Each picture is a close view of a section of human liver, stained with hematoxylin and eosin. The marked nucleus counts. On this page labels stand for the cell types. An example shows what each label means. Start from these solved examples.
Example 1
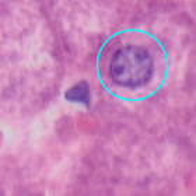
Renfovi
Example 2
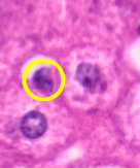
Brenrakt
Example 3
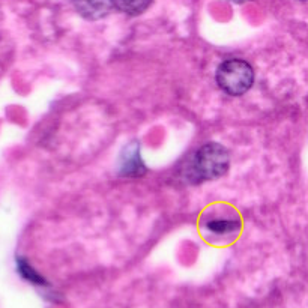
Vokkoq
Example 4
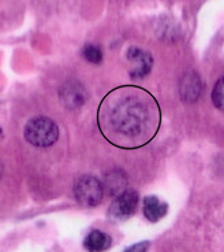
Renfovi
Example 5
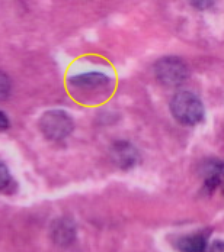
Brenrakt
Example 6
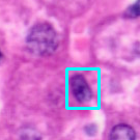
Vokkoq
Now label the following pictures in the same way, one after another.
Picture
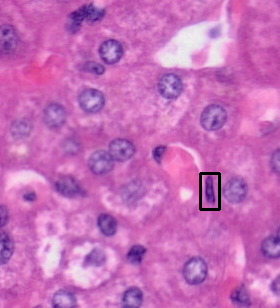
Vokkoq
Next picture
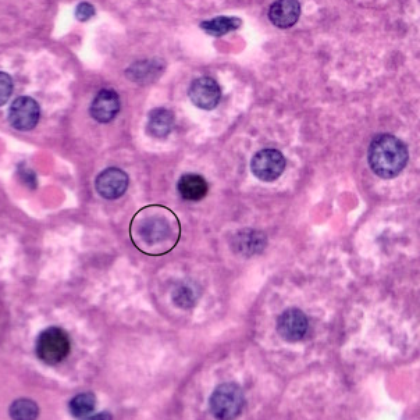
Renfovi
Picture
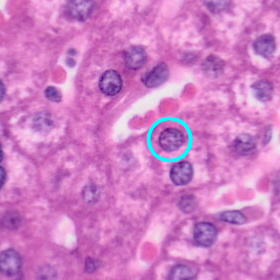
Renfovi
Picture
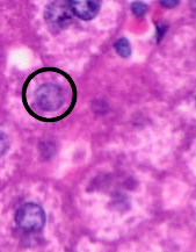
Renfovi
